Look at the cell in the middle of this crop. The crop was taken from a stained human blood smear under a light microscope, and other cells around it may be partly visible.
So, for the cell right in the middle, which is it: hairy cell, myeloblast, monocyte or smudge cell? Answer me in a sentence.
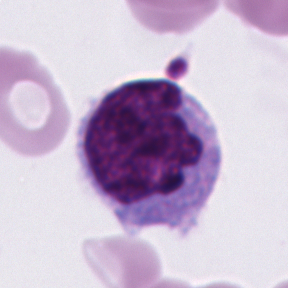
The cell nearest the centre of this crop is a monocyte.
